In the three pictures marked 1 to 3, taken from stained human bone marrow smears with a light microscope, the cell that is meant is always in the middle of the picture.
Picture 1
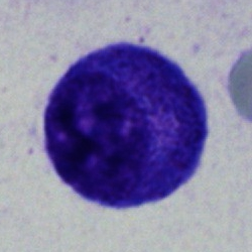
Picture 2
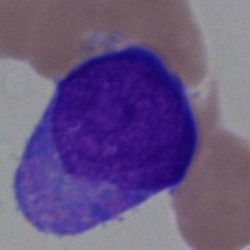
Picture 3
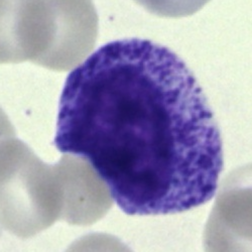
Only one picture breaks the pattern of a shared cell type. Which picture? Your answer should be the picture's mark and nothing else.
2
